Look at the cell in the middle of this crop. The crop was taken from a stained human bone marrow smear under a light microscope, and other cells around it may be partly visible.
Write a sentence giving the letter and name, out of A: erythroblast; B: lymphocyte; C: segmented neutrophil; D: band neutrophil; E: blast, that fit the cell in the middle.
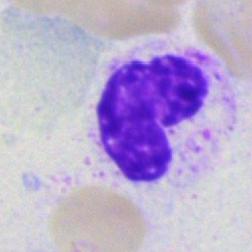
The right choice is option D: the cell in the middle is a band neutrophil.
